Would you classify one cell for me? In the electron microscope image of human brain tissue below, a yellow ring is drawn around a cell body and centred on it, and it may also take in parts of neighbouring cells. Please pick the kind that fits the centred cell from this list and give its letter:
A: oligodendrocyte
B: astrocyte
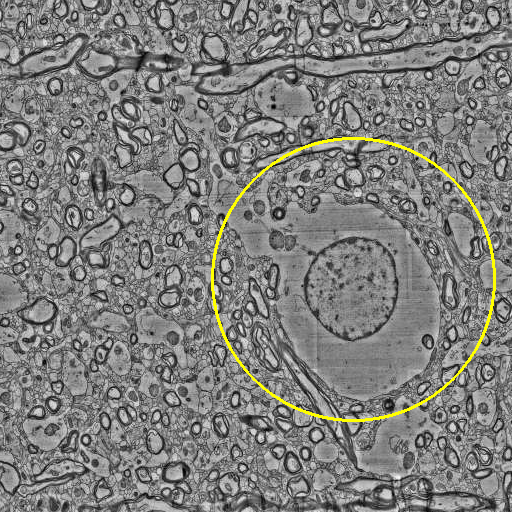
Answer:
B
